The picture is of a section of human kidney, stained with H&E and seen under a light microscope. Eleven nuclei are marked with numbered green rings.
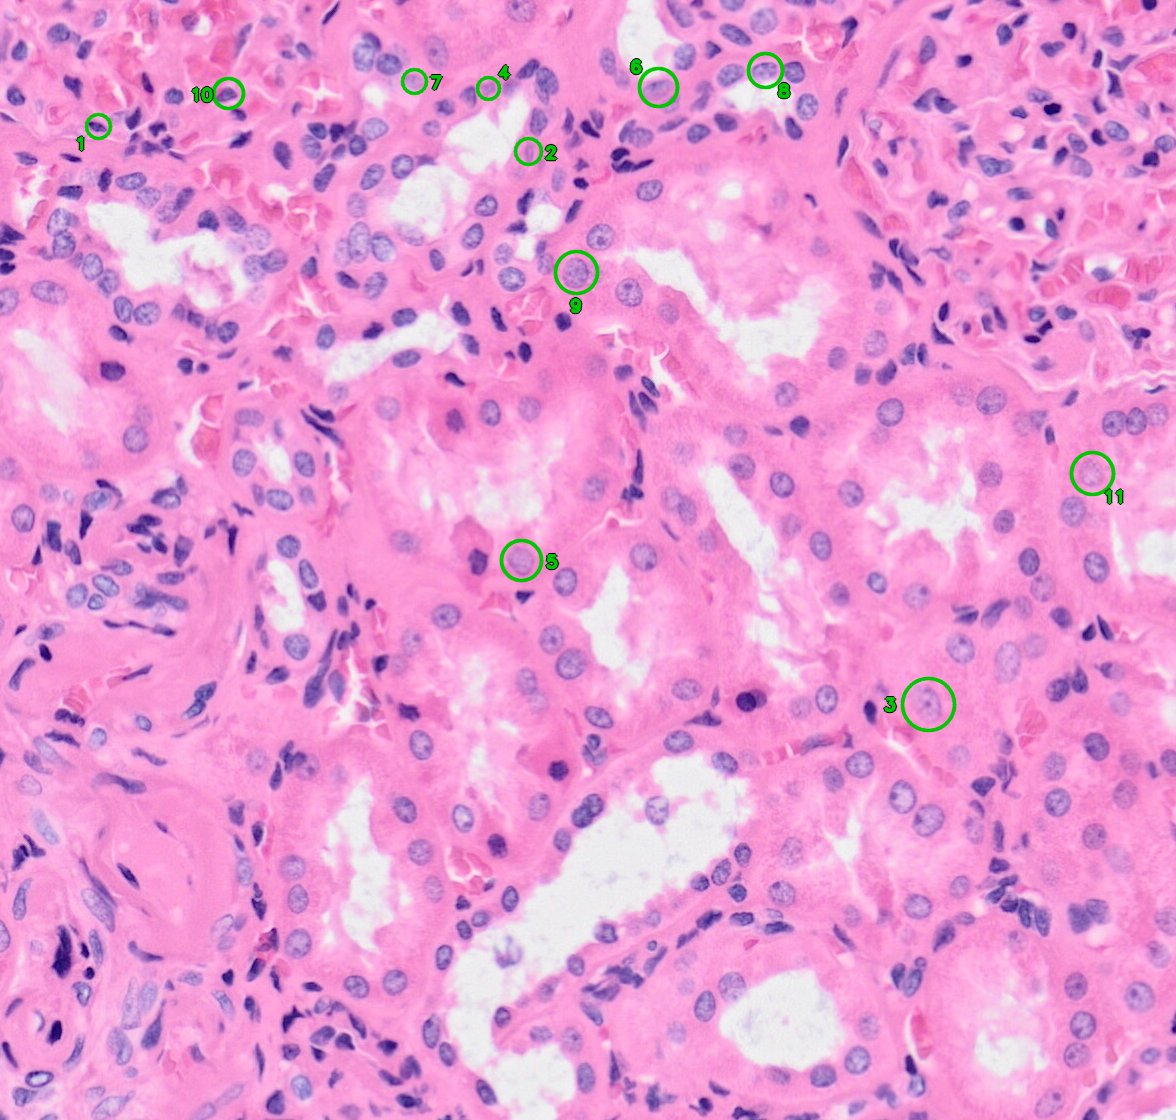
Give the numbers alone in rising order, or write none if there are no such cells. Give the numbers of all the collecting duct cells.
2, 4, 6, 7, 8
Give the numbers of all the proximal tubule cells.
3, 5, 9, 11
